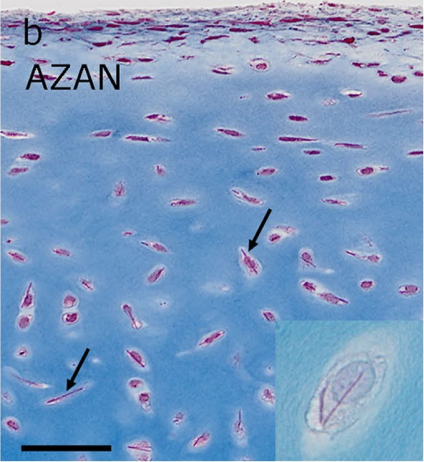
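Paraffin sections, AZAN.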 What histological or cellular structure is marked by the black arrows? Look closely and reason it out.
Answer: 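Straight red needles run along the long axis of elongated cells. The needles stand out against the blue matrix.
Hence: crystals.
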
